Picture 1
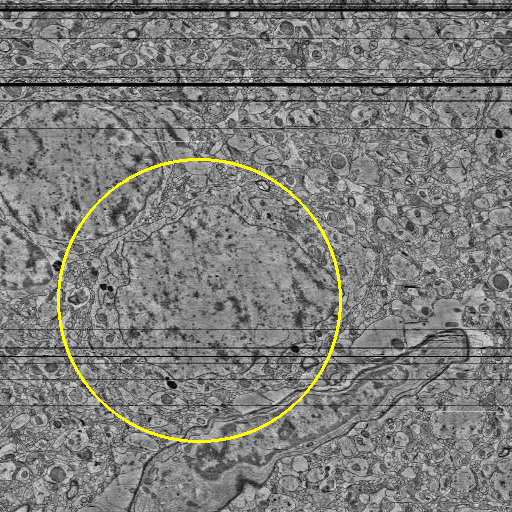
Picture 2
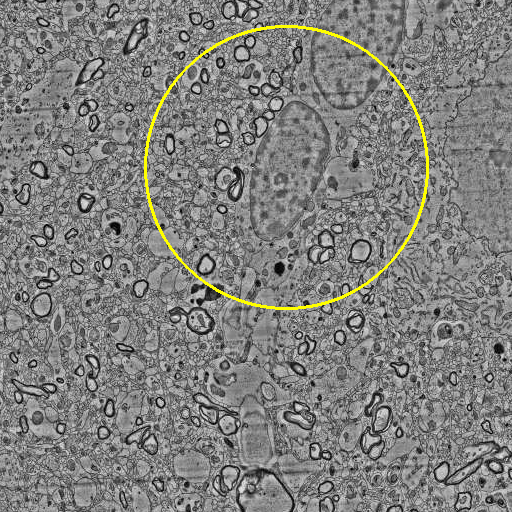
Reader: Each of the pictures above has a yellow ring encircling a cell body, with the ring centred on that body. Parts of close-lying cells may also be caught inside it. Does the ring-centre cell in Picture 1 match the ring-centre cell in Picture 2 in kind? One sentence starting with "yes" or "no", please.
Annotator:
No, Picture 1 and Picture 2 show ring-centre cells of two kinds.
